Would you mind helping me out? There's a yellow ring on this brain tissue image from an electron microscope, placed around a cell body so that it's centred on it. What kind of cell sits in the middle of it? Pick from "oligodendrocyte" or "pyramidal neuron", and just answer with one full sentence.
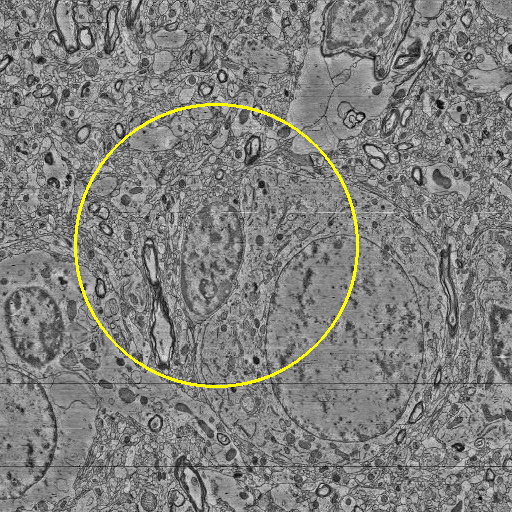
What sits in the middle of that yellow ring is an oligodendrocyte, from your choices.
